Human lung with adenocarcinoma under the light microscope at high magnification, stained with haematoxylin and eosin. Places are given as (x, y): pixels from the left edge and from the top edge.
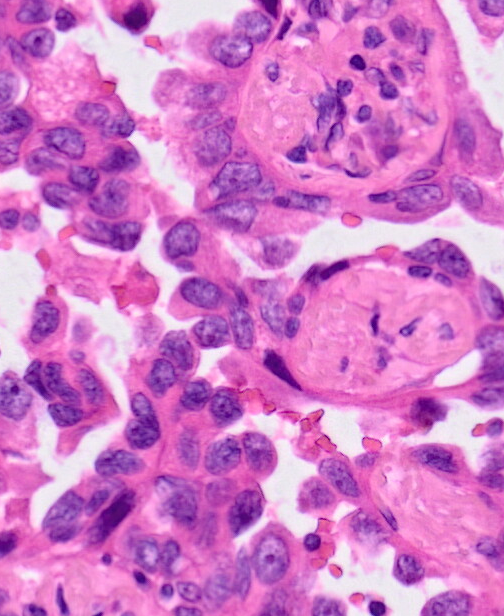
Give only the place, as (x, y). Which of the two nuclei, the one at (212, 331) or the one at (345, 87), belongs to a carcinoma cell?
(212, 331)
